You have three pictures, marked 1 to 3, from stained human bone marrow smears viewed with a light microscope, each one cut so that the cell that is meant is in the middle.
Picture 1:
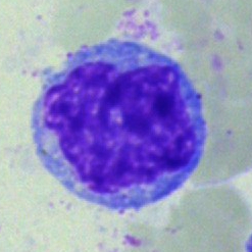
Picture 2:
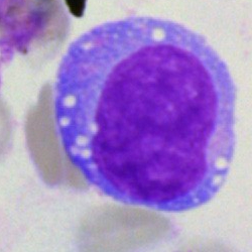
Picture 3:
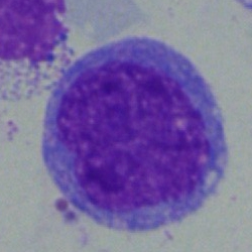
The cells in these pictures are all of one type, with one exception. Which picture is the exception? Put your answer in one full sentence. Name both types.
Unlike the rest, which show blasts, picture 1 shows a monocyte.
